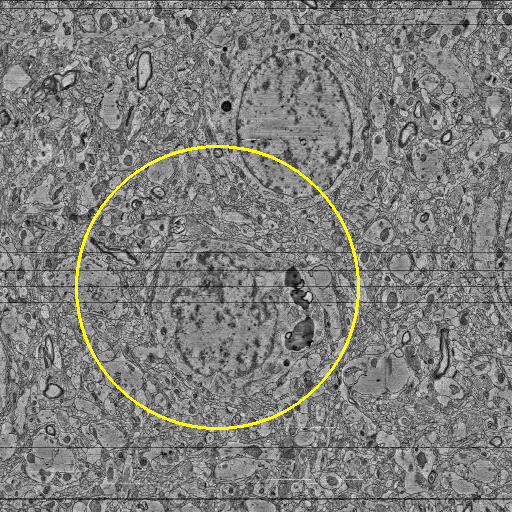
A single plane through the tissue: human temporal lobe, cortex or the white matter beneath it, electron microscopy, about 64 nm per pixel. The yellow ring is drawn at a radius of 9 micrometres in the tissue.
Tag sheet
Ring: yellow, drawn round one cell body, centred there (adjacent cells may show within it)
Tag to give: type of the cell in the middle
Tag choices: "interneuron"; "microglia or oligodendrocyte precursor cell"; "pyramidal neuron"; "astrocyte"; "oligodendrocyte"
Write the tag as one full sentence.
I tag the cell centred in the yellow ring as an interneuron in this picture.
